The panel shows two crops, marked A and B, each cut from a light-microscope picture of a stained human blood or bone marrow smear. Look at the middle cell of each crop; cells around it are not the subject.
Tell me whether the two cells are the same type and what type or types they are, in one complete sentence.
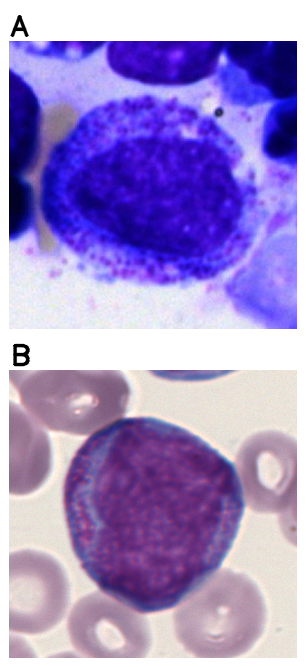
Yes, what both crops show is promyelocytes.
